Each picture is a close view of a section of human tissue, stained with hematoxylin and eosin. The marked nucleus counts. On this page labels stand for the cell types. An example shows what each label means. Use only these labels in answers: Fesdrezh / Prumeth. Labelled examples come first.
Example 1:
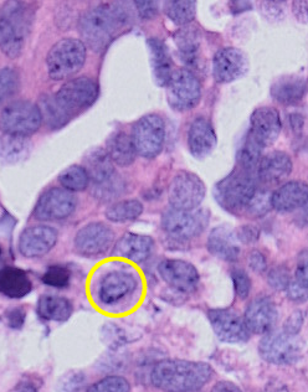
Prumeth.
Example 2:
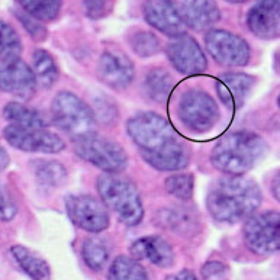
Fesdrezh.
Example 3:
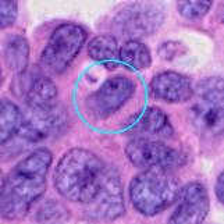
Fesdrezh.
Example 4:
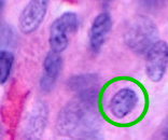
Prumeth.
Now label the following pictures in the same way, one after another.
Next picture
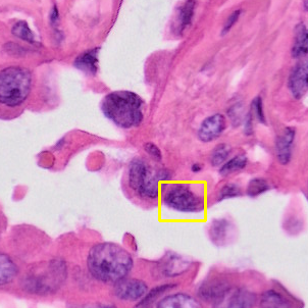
Fesdrezh.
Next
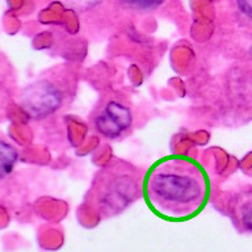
Prumeth.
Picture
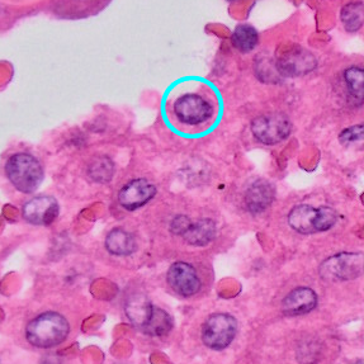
Prumeth.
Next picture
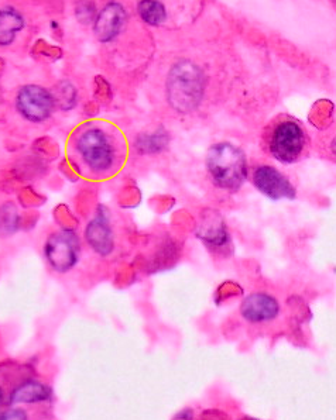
Prumeth.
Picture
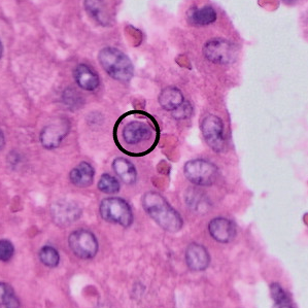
Prumeth.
